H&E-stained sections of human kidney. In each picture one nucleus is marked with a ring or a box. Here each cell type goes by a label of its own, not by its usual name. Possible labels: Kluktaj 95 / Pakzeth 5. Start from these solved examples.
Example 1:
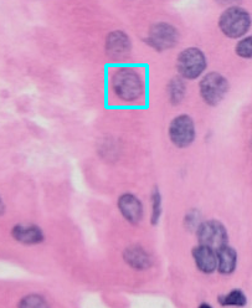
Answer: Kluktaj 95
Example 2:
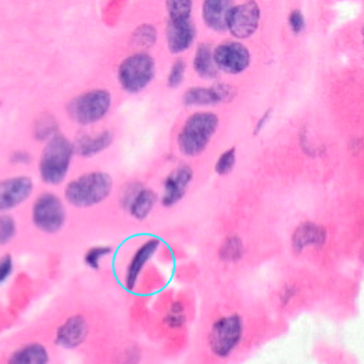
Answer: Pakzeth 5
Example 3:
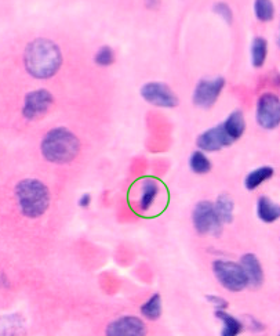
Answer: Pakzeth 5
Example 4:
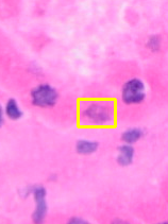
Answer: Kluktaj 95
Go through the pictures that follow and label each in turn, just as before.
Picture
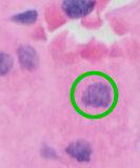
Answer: Kluktaj 95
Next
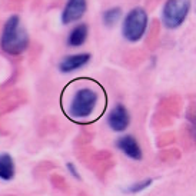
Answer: Pakzeth 5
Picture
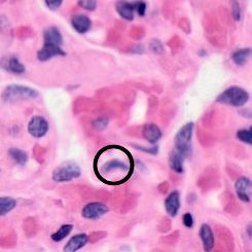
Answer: Pakzeth 5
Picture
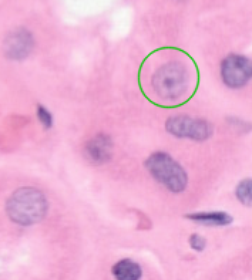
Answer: Kluktaj 95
